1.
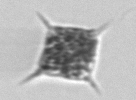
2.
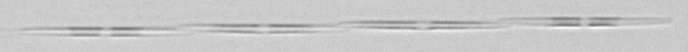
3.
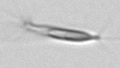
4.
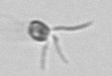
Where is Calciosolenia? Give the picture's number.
3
